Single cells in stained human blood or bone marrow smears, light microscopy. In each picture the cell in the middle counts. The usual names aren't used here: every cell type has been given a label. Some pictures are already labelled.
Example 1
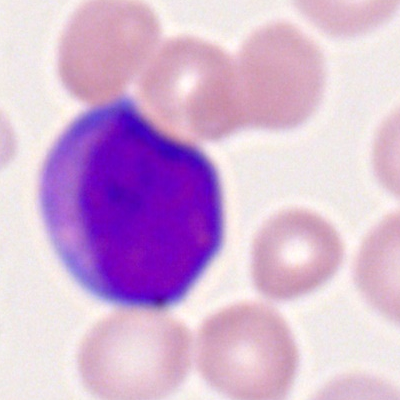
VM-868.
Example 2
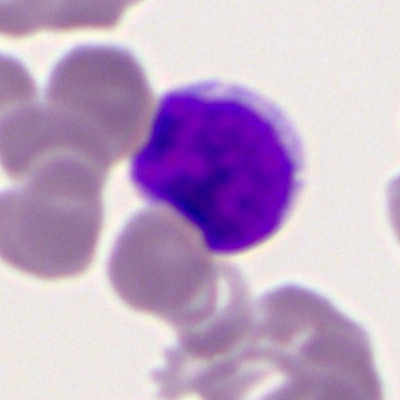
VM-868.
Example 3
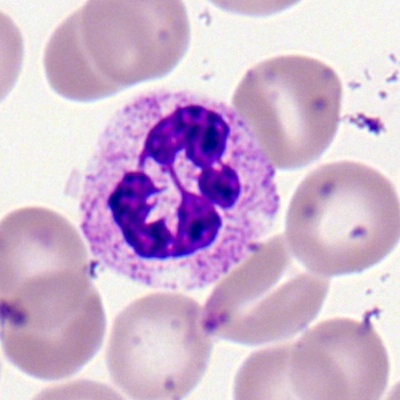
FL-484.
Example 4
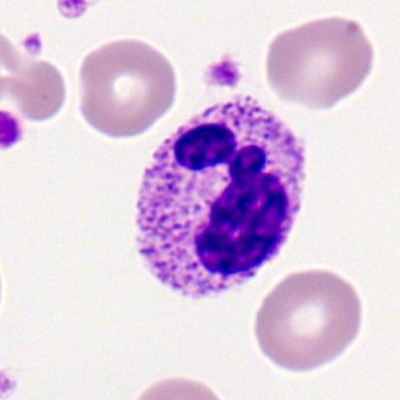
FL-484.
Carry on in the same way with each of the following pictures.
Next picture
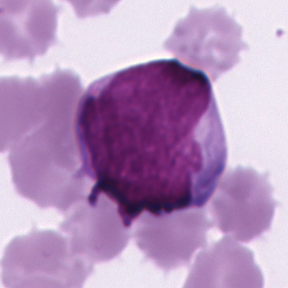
VM-868.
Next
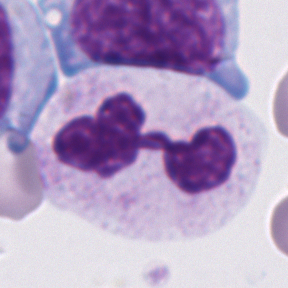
FL-484.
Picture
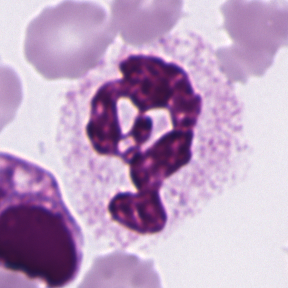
FL-484.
